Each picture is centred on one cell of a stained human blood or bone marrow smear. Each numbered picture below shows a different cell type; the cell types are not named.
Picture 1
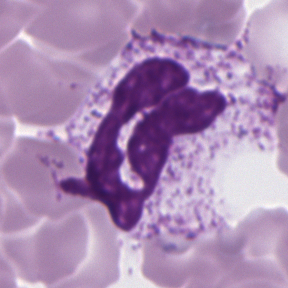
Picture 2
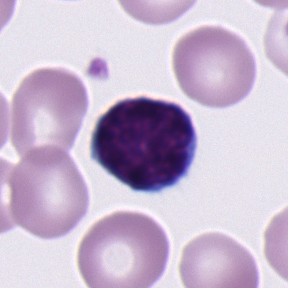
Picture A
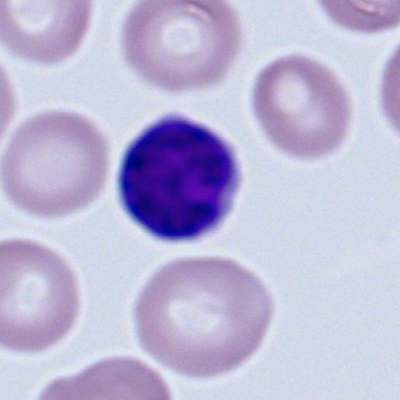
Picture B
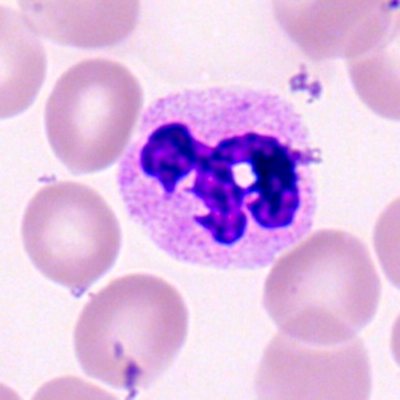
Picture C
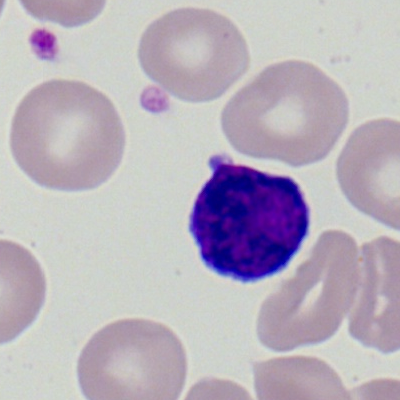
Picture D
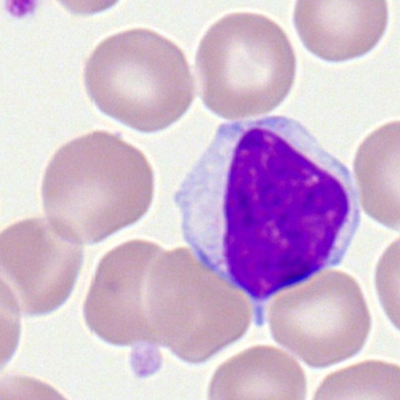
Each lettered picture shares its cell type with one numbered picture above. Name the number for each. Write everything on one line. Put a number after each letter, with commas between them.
A 2, B 1, C 2, D 2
